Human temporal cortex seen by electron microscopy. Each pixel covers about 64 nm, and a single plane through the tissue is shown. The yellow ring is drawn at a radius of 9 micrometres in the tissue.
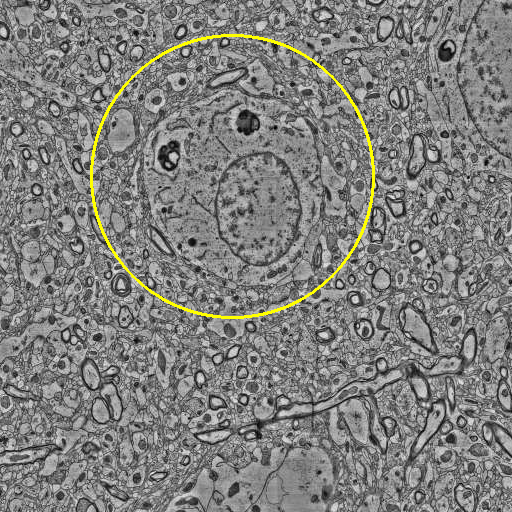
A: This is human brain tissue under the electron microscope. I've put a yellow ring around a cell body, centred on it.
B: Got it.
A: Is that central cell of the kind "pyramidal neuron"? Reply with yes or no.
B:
yes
